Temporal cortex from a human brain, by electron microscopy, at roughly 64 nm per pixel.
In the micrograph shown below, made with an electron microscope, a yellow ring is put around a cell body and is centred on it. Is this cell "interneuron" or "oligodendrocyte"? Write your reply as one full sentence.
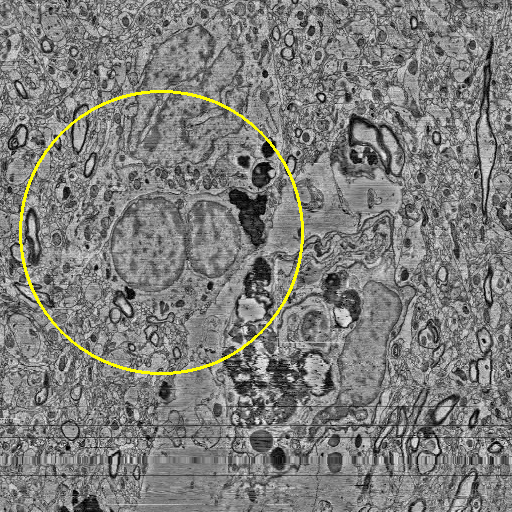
In the micrograph, an oligodendrocyte is the cell at the centre of the yellow ring.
